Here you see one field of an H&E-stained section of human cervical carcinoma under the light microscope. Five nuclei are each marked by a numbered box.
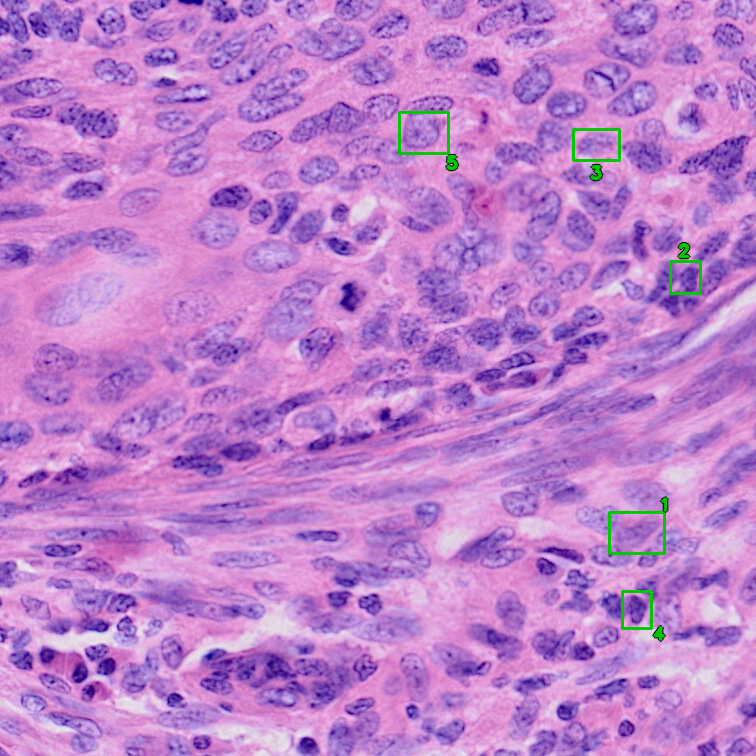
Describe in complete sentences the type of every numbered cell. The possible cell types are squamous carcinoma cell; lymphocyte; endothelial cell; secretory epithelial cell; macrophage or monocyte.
Cell 1 is an endothelial cell. Cells 2, 3 and 5 are squamous carcinoma cells. Cell 4 is a lymphocyte.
